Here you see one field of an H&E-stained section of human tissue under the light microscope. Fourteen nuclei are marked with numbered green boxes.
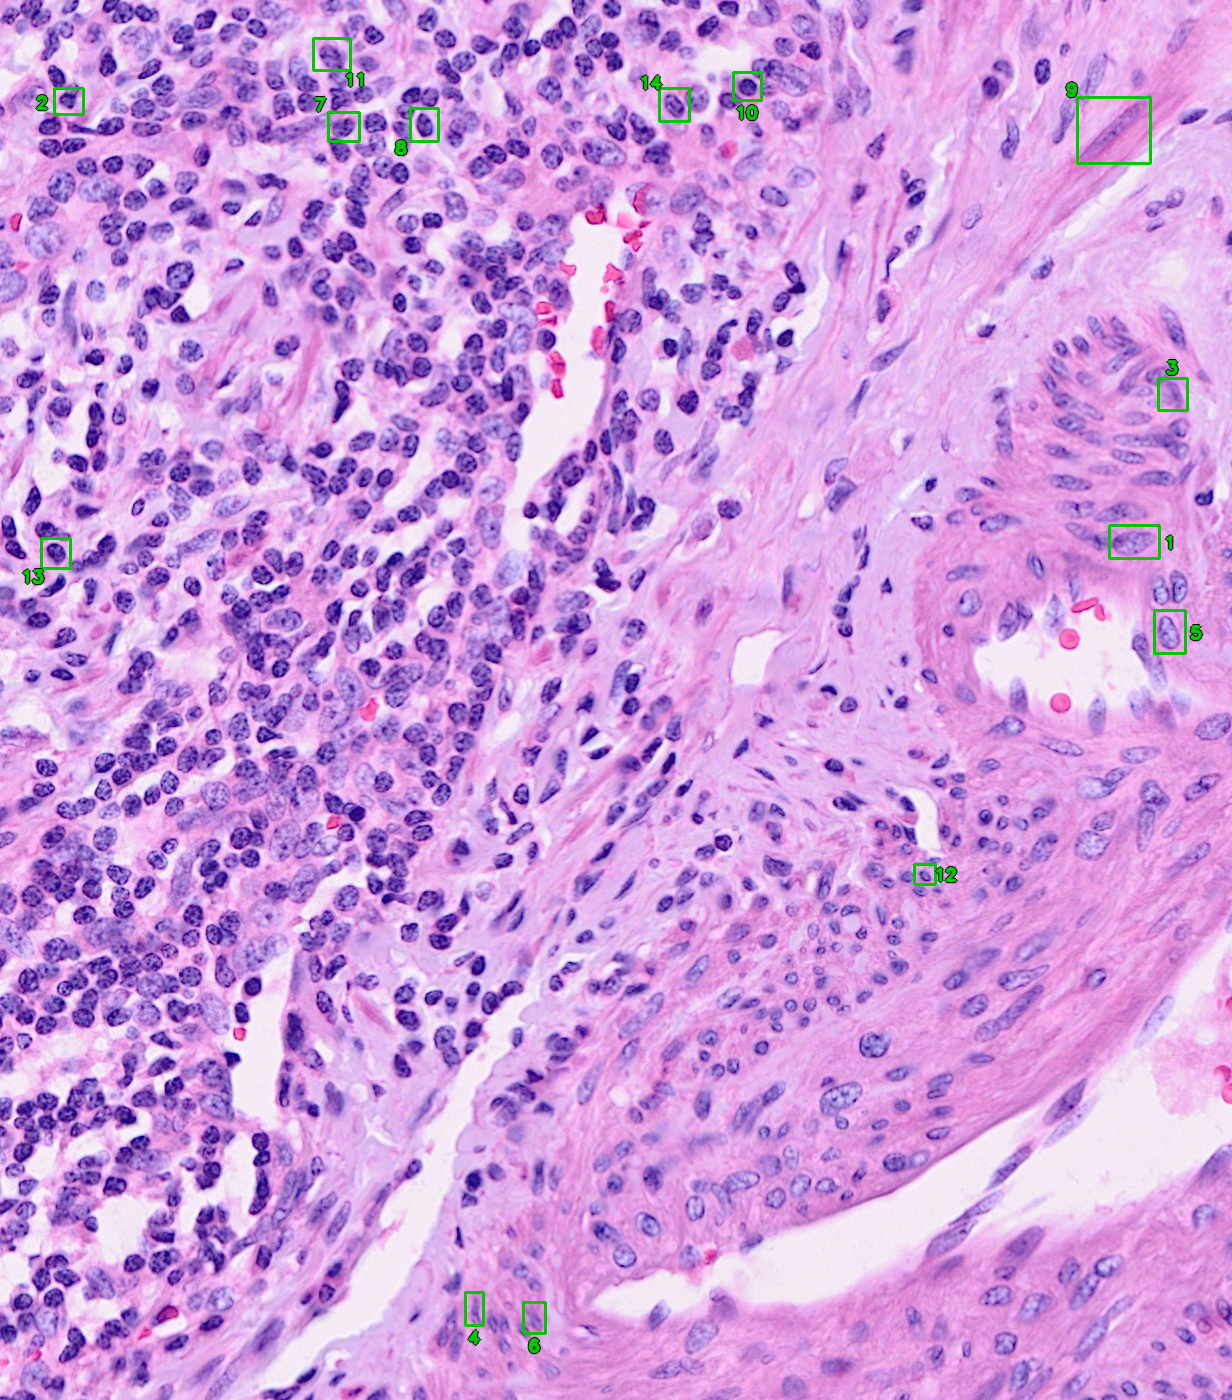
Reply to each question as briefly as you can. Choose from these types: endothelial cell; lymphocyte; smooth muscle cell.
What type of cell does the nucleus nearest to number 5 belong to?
endothelial cell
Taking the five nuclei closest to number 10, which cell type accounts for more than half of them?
lymphocyte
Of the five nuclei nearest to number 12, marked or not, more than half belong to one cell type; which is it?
smooth muscle cell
